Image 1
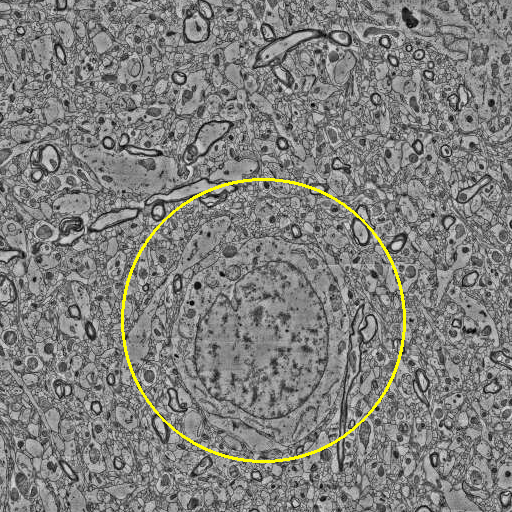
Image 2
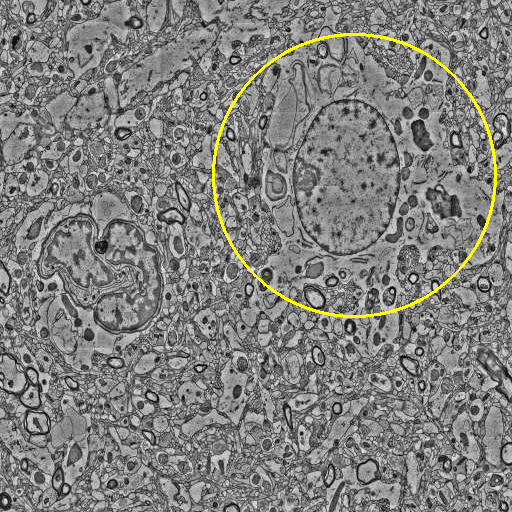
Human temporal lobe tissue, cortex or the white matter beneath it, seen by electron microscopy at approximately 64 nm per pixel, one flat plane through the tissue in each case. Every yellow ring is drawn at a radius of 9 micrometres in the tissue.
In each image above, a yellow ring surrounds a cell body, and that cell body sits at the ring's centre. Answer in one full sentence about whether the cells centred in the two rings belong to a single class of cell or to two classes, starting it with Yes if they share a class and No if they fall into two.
No, the cells centred in the two yellow rings belong to two classes of cell.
